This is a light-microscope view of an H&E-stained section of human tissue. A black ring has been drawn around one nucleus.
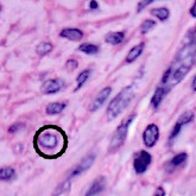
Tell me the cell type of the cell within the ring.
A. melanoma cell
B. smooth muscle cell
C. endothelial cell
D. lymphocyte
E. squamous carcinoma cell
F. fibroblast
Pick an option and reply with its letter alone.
B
